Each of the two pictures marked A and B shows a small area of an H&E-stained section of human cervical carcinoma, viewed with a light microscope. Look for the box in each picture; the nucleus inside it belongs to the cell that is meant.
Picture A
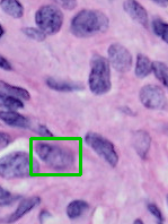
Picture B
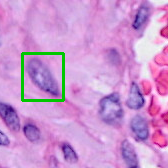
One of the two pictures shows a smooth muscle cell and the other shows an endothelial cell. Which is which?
A: endothelial cell
B: smooth muscle cell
